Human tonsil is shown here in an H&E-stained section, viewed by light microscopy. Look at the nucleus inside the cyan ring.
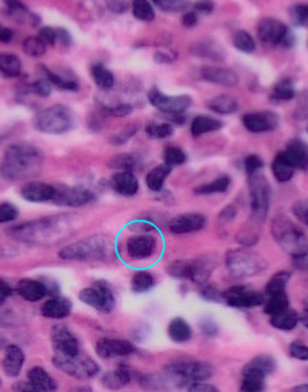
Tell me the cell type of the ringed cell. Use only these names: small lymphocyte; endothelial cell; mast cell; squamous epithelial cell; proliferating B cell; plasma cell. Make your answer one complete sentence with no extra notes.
It is as an endothelial cell that the ringed cell is classified.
